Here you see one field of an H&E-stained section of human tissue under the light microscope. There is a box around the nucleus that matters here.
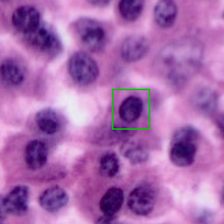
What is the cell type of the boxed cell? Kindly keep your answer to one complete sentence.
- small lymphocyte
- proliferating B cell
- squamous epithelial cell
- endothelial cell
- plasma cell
The correct response here is that the boxed cell is a plasma cell.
